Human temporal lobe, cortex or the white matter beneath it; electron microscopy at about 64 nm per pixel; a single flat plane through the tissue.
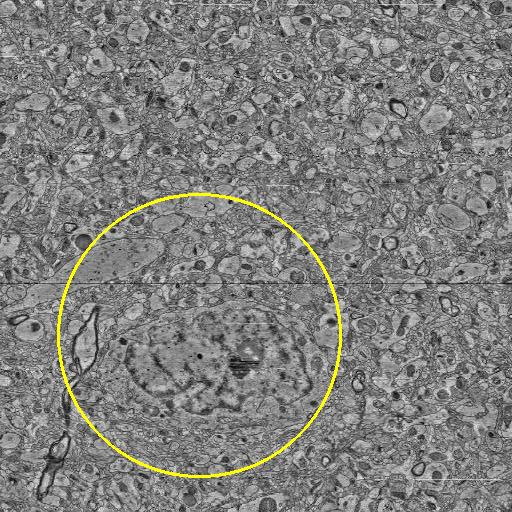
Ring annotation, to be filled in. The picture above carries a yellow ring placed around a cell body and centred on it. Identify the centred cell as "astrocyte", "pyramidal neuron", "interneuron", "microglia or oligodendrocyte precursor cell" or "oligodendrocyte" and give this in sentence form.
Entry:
The cell in the middle of the ring is an interneuron.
